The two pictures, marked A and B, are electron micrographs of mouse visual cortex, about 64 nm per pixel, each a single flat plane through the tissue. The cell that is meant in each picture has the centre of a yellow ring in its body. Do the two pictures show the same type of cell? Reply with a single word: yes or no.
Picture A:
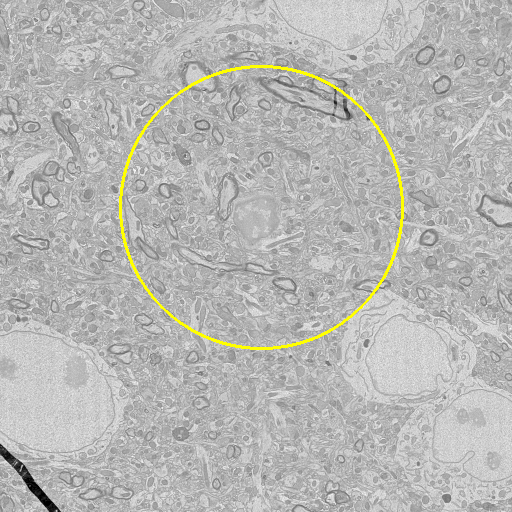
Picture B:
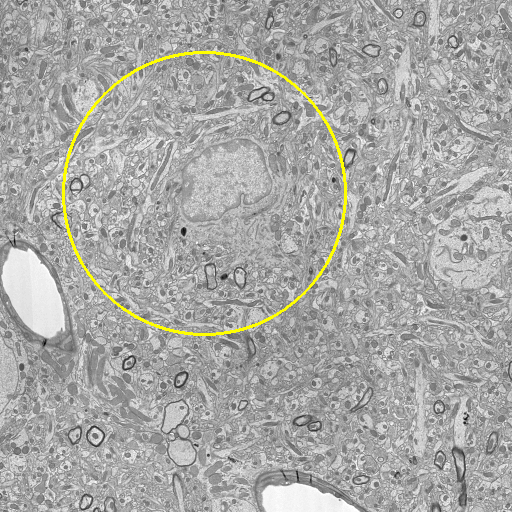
no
